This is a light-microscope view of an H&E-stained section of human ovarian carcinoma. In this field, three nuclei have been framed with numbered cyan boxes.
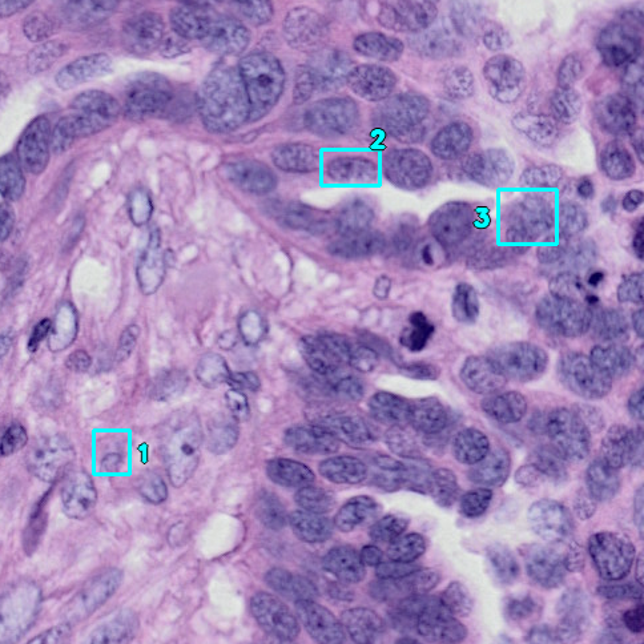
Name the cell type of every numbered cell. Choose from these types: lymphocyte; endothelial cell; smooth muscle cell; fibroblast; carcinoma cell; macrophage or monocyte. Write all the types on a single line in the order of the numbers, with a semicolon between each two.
fibroblast; carcinoma cell; carcinoma cell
